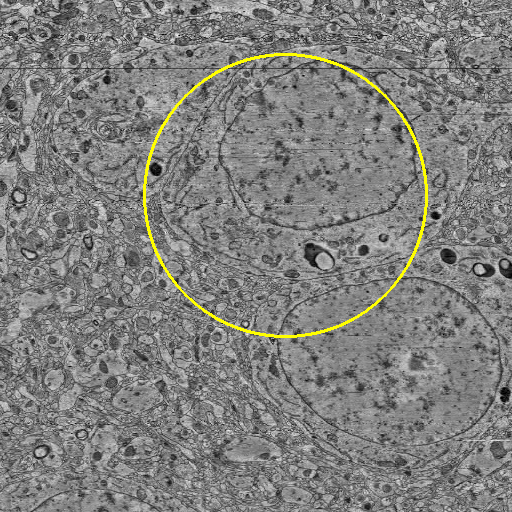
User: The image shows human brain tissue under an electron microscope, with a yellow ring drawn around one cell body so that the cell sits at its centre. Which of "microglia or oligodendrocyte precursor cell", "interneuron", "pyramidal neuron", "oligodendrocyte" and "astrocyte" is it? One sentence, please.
At the centre of the ring sits a pyramidal neuron.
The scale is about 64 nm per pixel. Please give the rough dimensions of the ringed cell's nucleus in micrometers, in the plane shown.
In this plane the nucleus is about 12 micrometres across.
